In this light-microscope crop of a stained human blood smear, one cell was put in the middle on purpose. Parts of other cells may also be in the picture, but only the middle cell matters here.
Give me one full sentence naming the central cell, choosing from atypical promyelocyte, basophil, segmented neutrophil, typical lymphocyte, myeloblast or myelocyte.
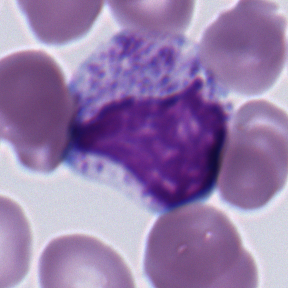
Answering briefly, the cell in the middle is a myelocyte.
